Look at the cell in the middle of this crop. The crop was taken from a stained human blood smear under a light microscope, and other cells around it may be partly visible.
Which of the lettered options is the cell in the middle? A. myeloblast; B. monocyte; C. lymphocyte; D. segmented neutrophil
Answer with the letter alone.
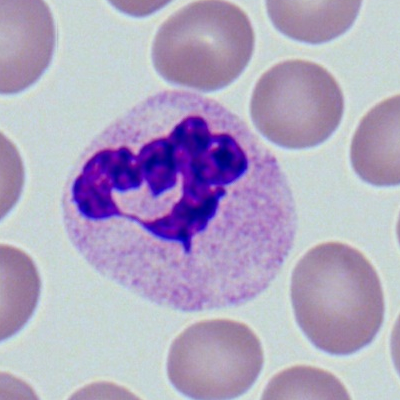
D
